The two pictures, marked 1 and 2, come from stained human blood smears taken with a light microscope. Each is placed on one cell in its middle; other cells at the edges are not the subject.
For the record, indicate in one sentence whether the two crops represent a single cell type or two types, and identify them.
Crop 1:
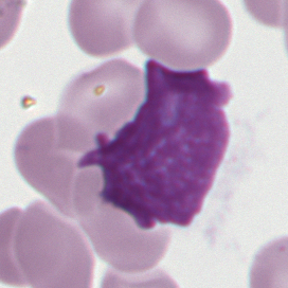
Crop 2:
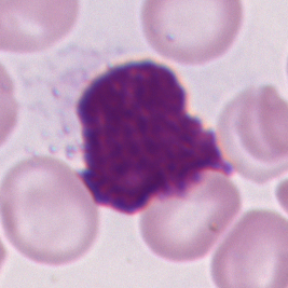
Yes, both crops show smudge cells, the one and the other.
